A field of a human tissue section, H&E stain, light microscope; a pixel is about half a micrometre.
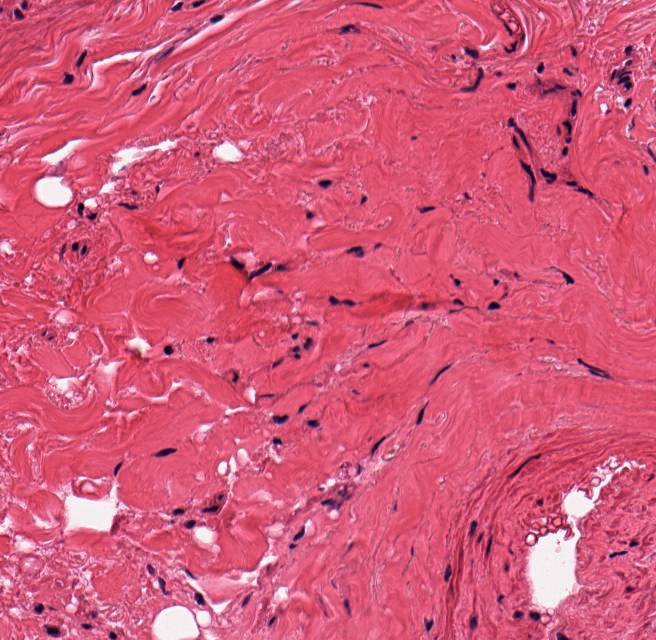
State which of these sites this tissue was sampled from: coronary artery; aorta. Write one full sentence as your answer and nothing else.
It was from the coronary artery that this tissue was sampled.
